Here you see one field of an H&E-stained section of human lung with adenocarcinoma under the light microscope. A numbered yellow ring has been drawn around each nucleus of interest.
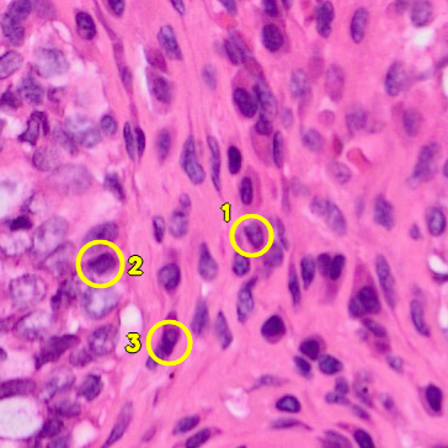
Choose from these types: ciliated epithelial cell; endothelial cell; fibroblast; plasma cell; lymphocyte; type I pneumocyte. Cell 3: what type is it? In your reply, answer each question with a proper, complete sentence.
The cell numbered 3 has been identified as a plasma cell.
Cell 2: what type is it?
The cell indicated with the number 2 is classed as a ciliated epithelial cell.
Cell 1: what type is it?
Identified as a plasma cell is the cell bearing the number 1.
